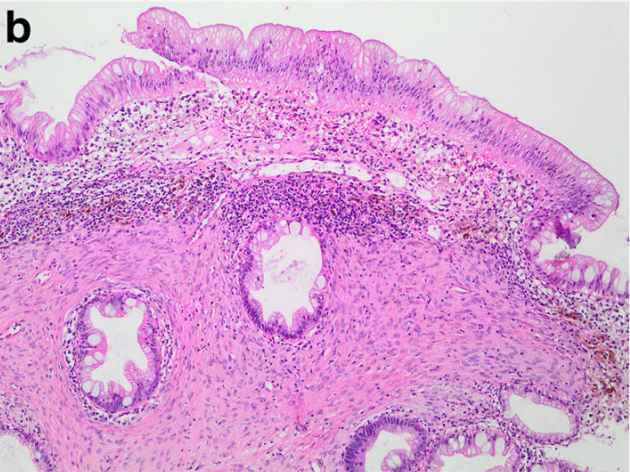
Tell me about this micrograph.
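This is colonic mucosa seen at moderate power. Along the top runs the surface epithelium, a single row of tall columnar cells with pale mucin-filled cytoplasm and basal nuclei. Just beneath it is a band of lamina propria crowded with small dark inflammatory cells, with a few brown pigment granules scattered in it. Below that band the picture changes: a pale pink, fibrillar stroma of elongated spindled cells with slender nuclei surrounds a few crypts, which are cut across and have jagged, saw-toothed lumens lined by goblet-containing epithelium.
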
